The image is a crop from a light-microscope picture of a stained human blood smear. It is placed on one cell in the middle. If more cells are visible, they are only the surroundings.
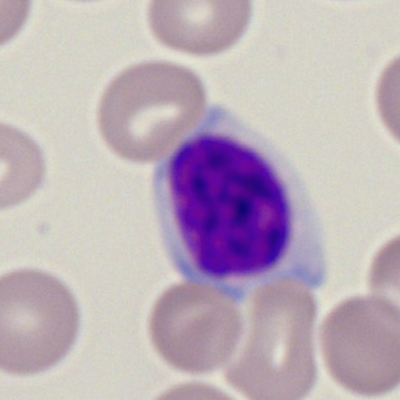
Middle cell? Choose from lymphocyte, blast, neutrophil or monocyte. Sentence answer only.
The central cell, amid any neighbouring cells, is a lymphocyte.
